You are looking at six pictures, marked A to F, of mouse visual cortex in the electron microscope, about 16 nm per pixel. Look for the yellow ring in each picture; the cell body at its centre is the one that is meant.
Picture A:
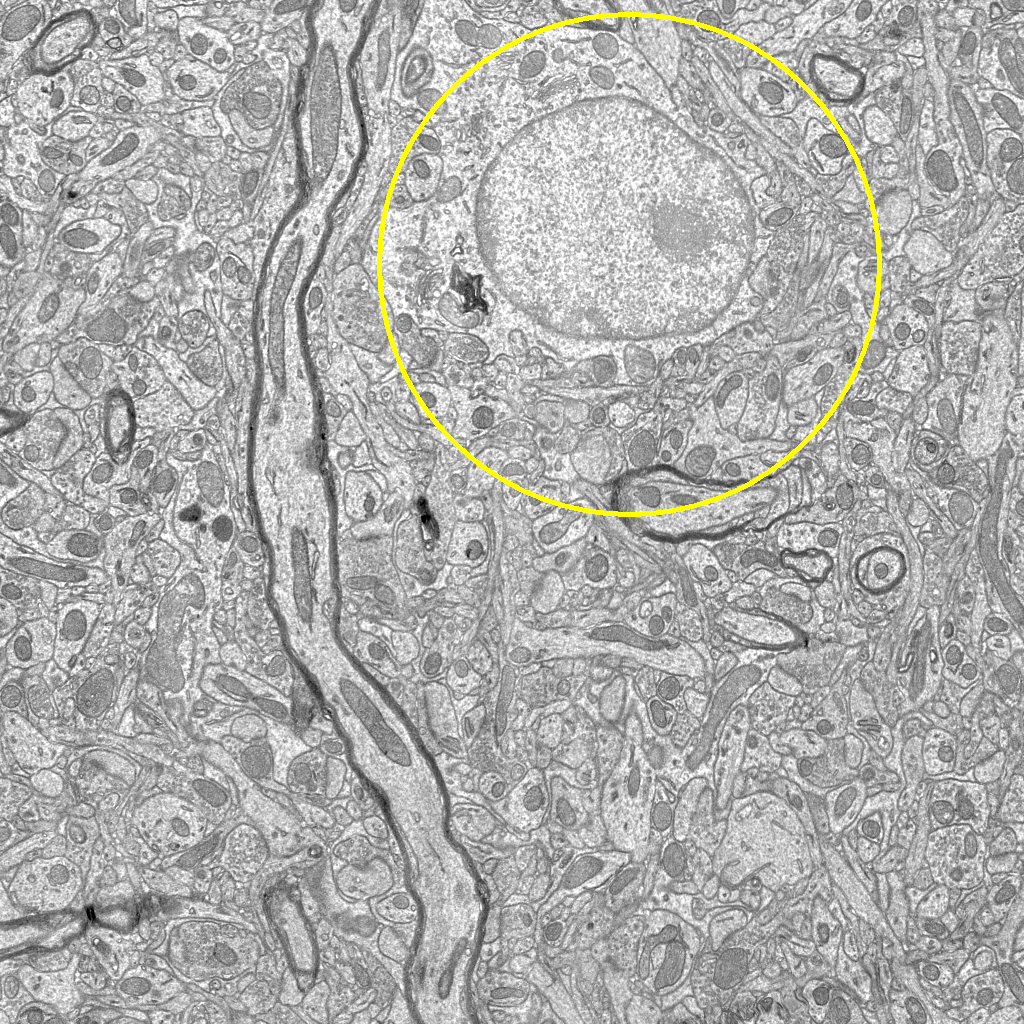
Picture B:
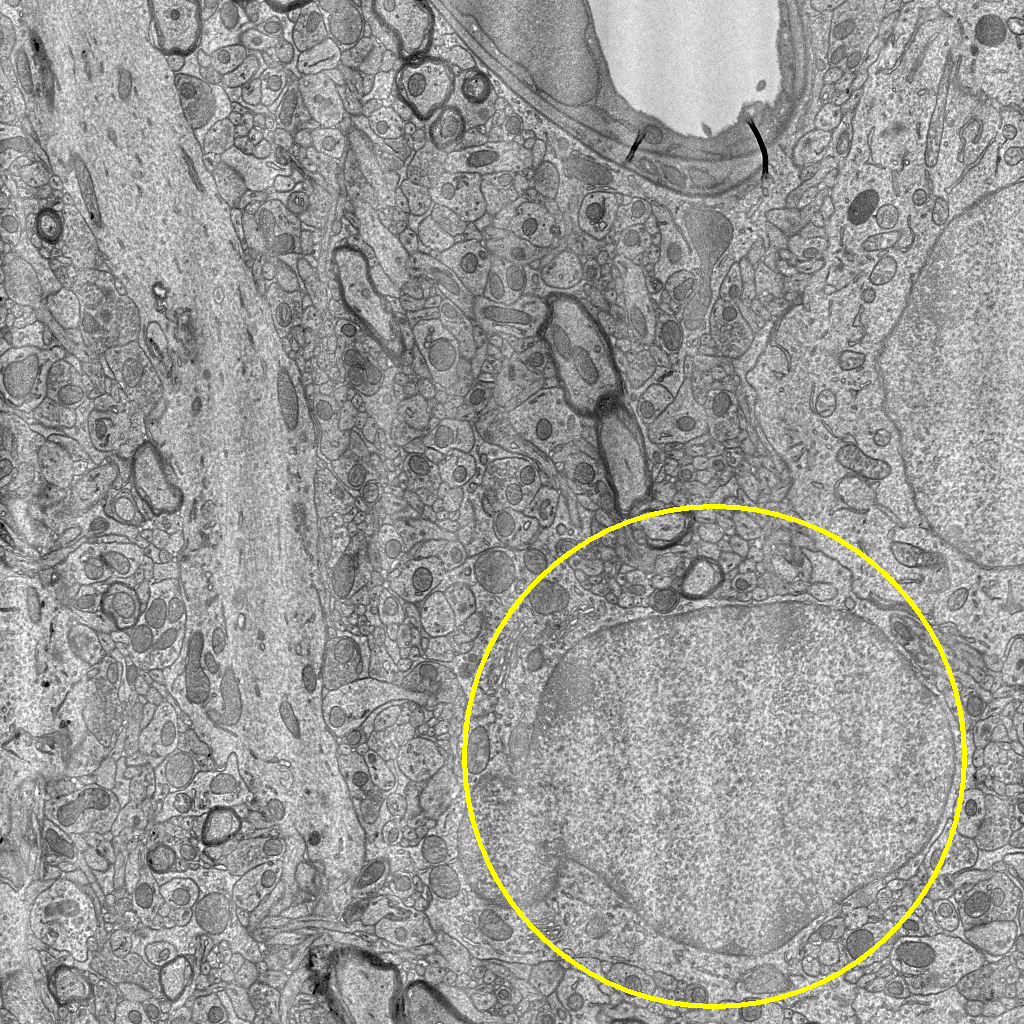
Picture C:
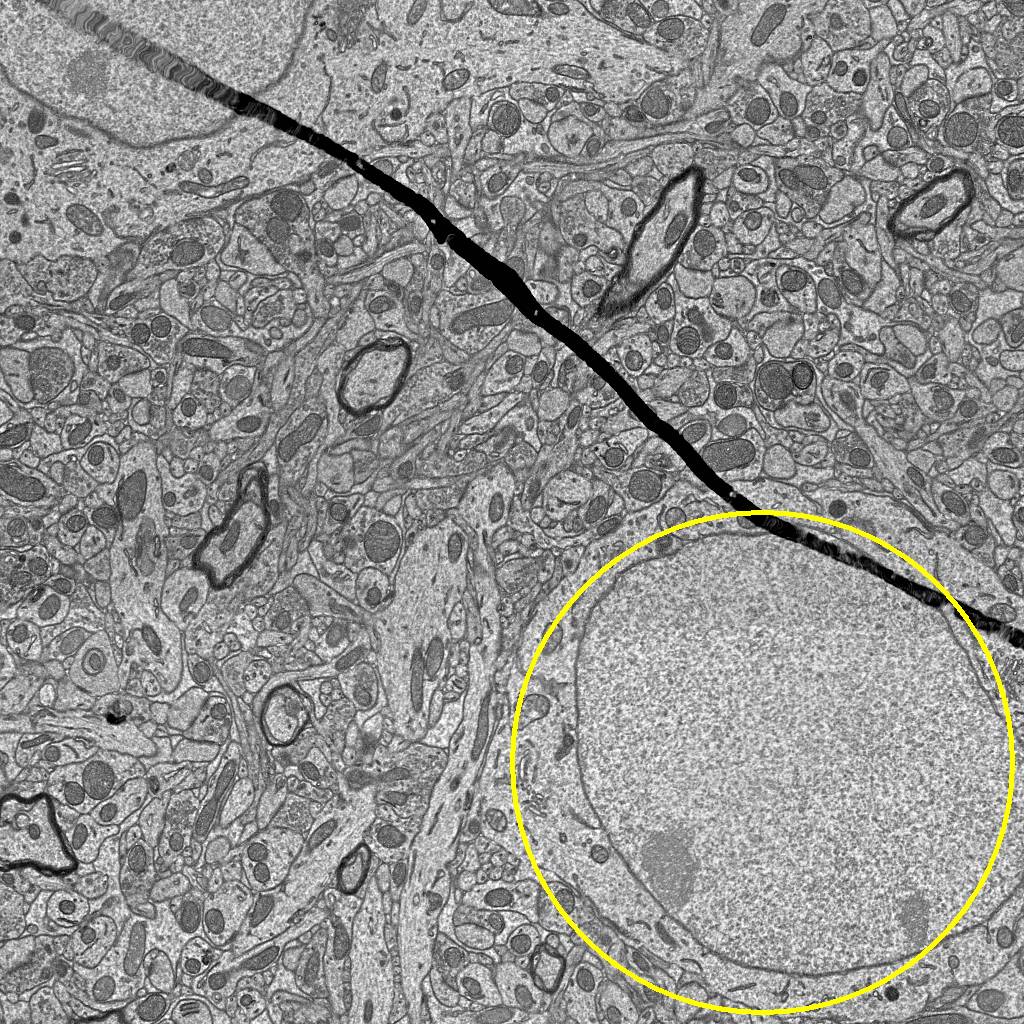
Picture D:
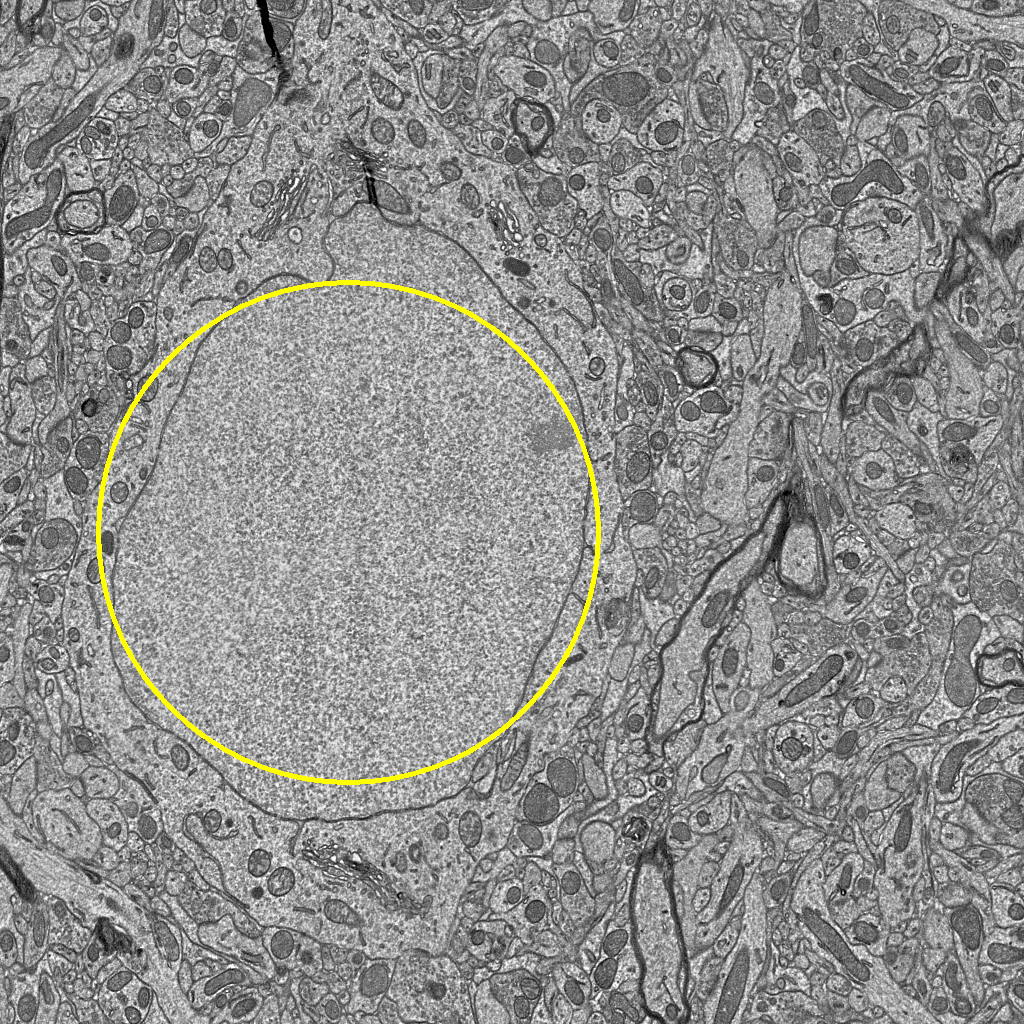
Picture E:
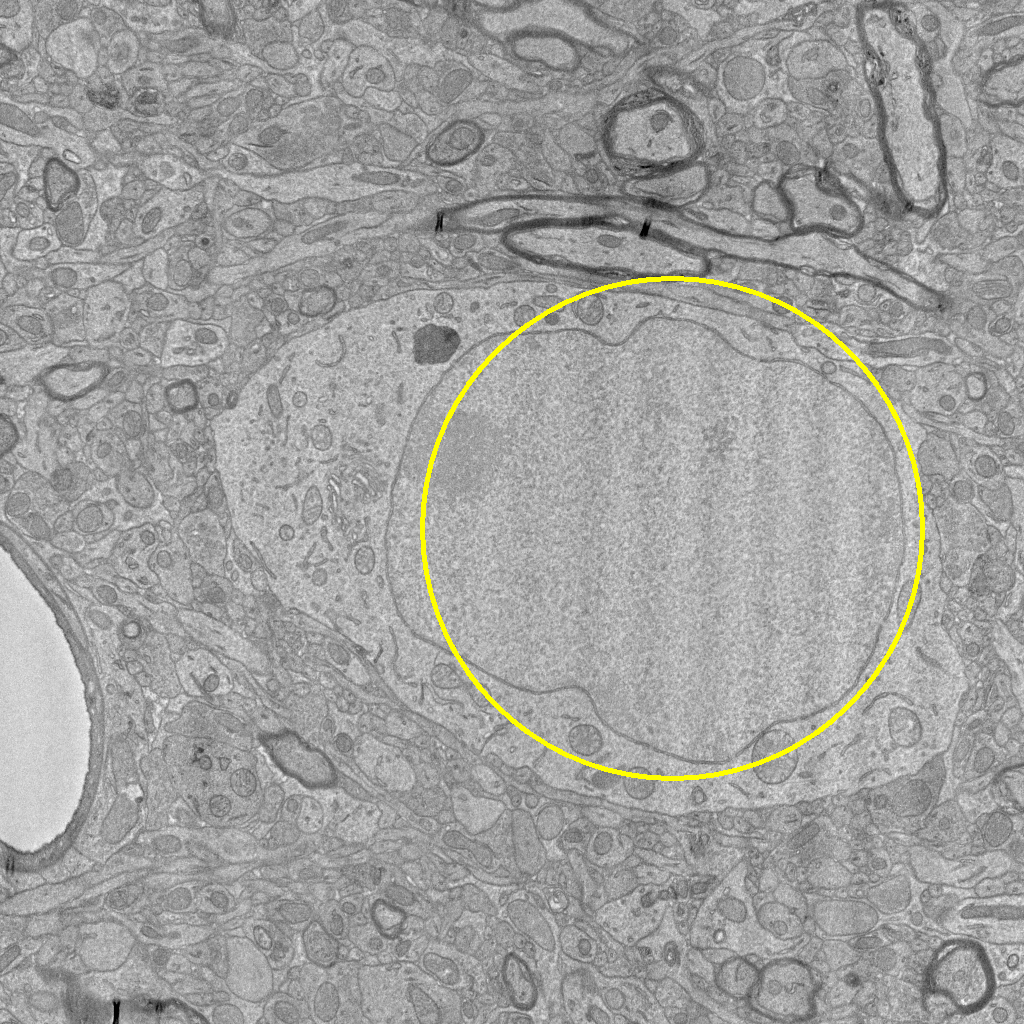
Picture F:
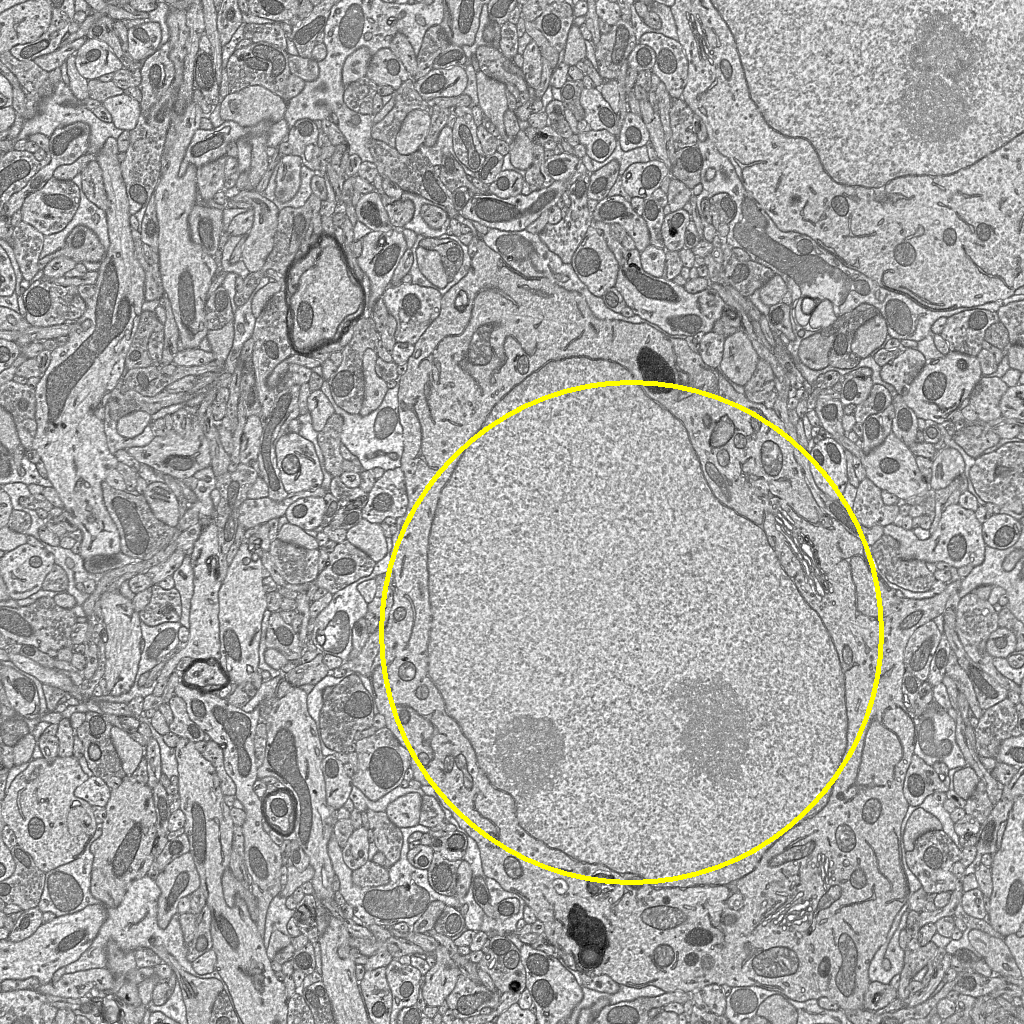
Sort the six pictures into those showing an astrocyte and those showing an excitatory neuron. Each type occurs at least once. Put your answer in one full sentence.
Pictures A and B show astrocytes; pictures C, D, E and F show excitatory neurons.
